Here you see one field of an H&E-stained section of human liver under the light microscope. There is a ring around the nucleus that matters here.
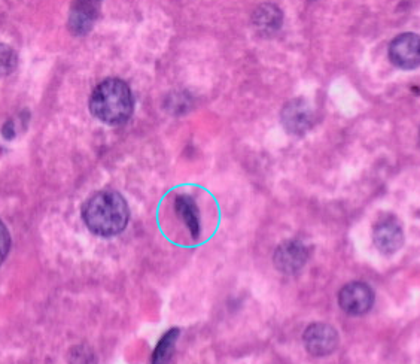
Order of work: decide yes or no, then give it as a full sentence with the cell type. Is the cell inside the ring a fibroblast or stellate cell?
Yes, the cell inside the ring is one that is classed as a fibroblast or stellate cell.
